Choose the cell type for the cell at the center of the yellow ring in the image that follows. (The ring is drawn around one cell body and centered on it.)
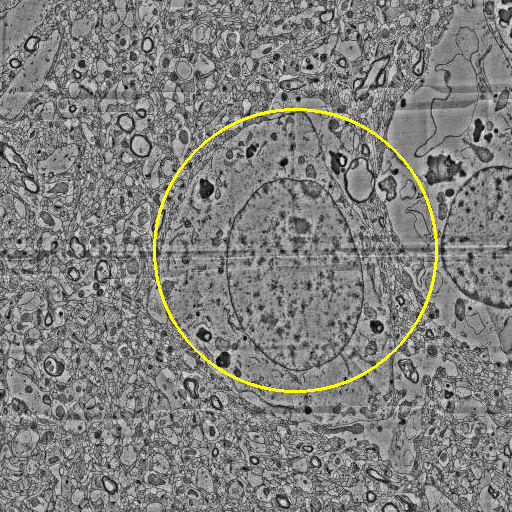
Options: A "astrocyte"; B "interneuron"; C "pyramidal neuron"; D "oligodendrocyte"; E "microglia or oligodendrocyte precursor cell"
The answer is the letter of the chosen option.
C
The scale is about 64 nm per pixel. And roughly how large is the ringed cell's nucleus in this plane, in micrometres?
Roughly 12 by 9 micrometres in this plane, for the nucleus of the ringed cell.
